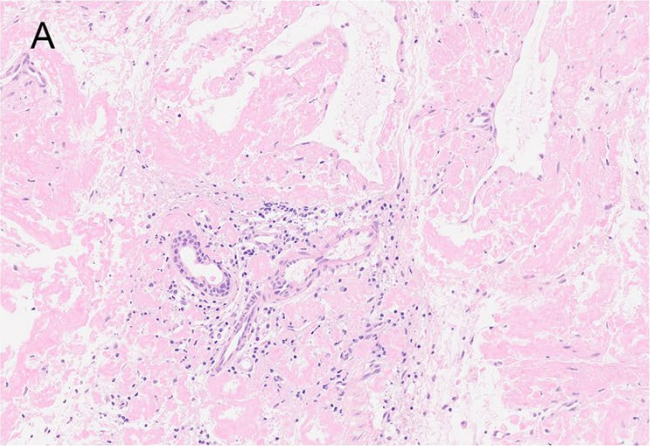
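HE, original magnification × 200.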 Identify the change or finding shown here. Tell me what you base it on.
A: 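Broad areas of pale pink, structureless material fill most of the field. A small cluster of round cells lies around a small duct or vessel in the middle.
Conclusion: Amorphous eosinophilic deposits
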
